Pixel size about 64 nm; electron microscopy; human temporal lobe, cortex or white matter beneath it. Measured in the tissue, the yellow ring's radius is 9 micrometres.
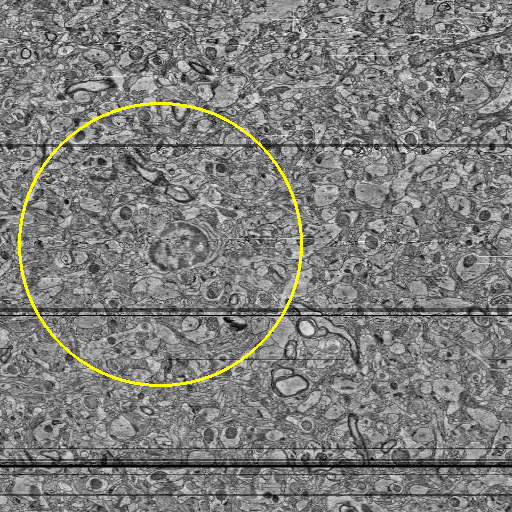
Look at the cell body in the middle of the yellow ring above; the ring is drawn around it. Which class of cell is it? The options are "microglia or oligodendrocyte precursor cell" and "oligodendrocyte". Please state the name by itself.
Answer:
microglia or oligodendrocyte precursor cell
